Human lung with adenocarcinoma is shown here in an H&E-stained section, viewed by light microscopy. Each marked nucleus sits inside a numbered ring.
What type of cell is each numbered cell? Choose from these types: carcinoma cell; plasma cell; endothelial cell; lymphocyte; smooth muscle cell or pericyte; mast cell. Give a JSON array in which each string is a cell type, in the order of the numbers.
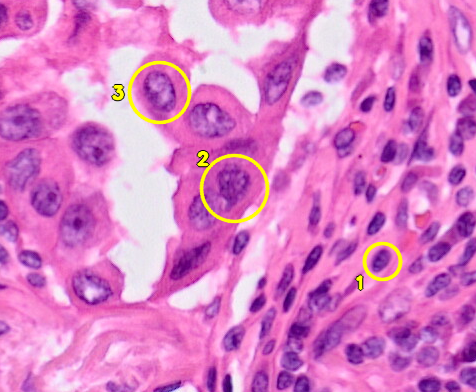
["lymphocyte", "carcinoma cell", "carcinoma cell"]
